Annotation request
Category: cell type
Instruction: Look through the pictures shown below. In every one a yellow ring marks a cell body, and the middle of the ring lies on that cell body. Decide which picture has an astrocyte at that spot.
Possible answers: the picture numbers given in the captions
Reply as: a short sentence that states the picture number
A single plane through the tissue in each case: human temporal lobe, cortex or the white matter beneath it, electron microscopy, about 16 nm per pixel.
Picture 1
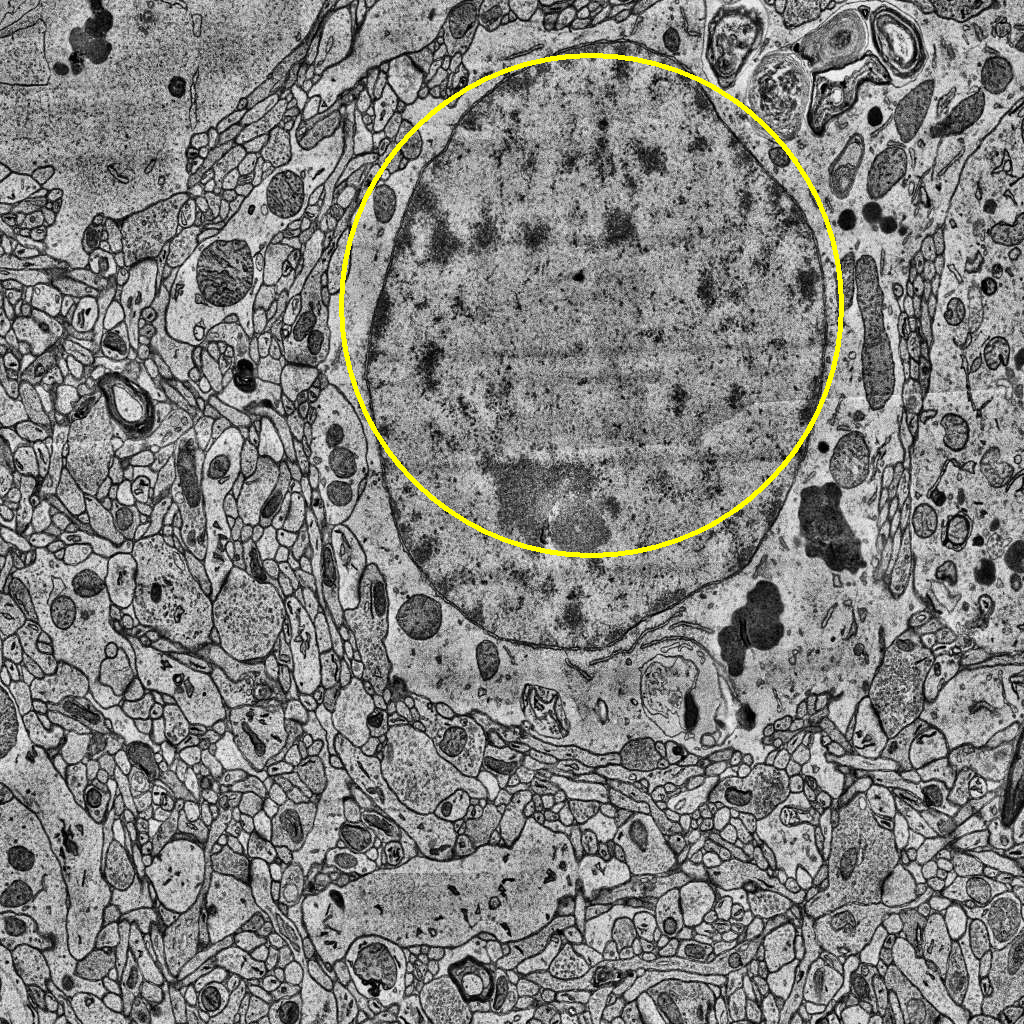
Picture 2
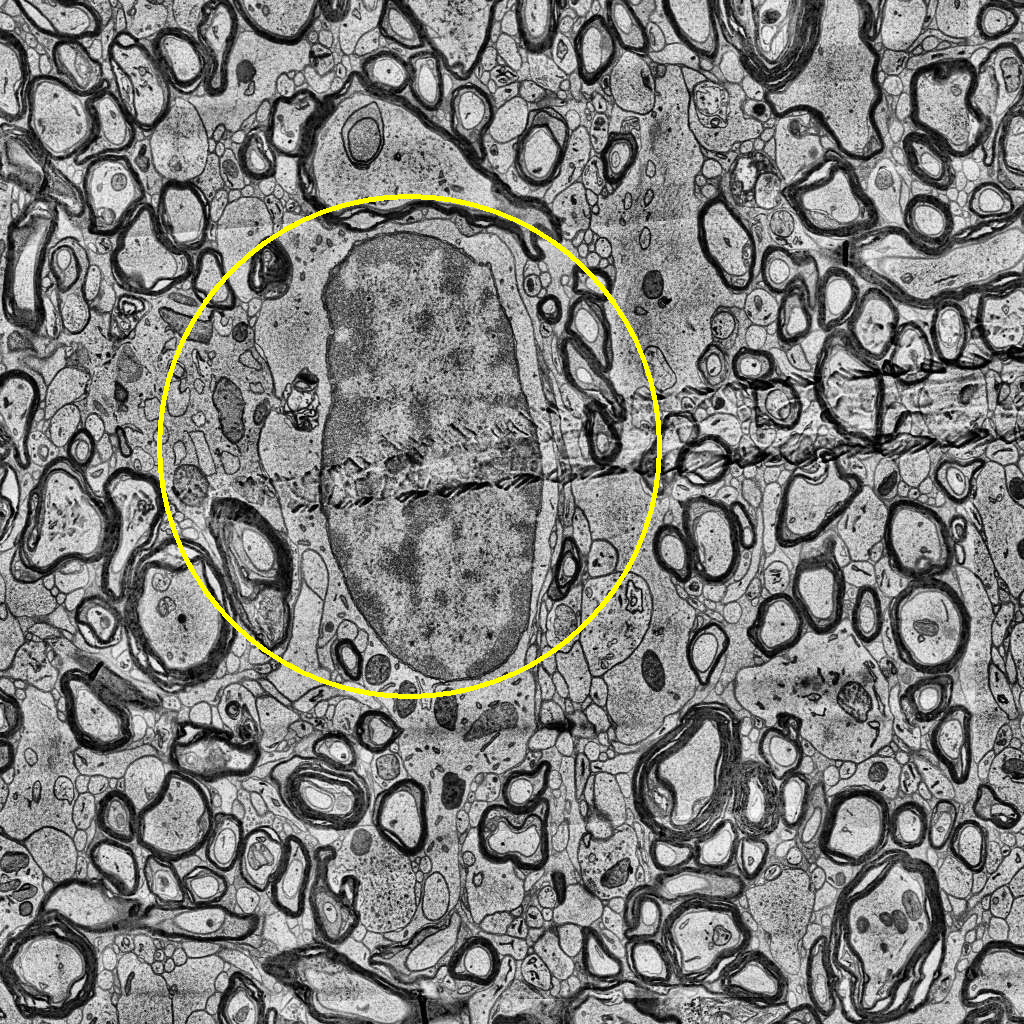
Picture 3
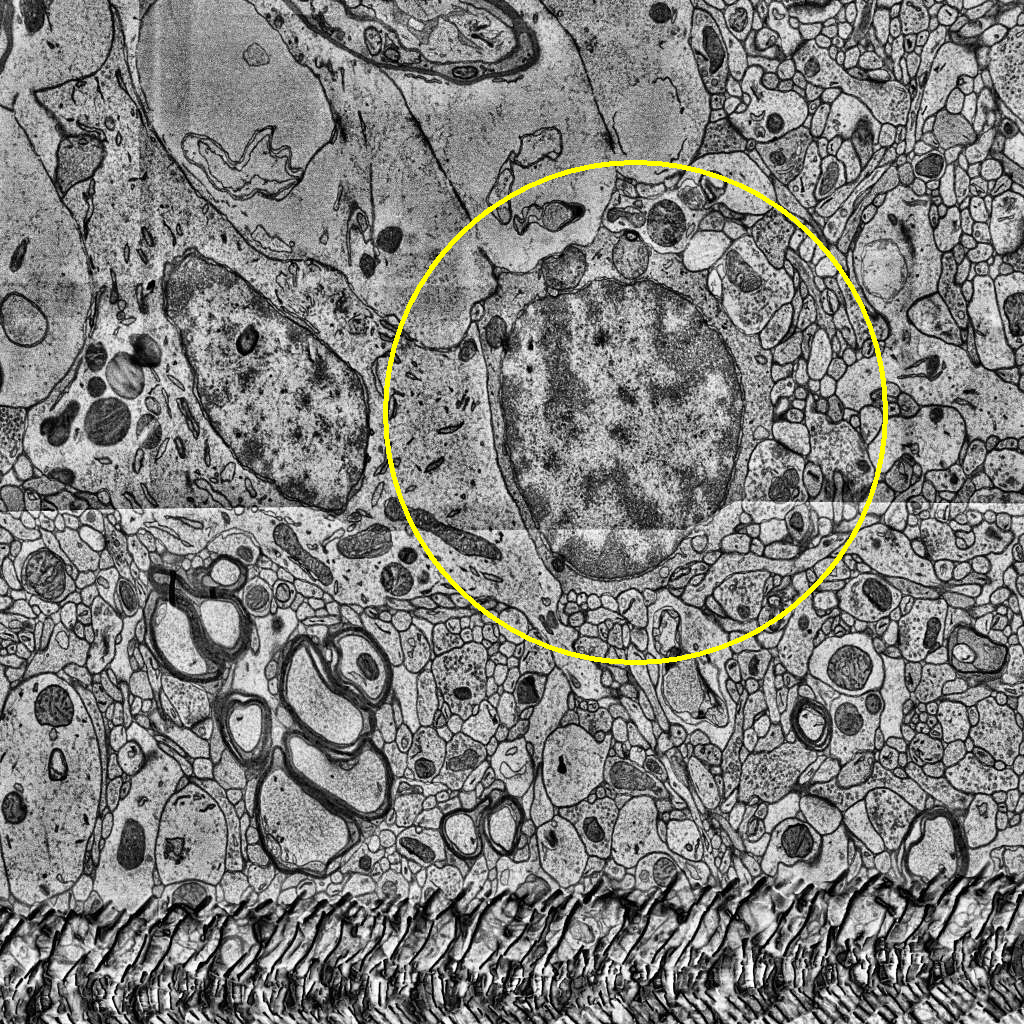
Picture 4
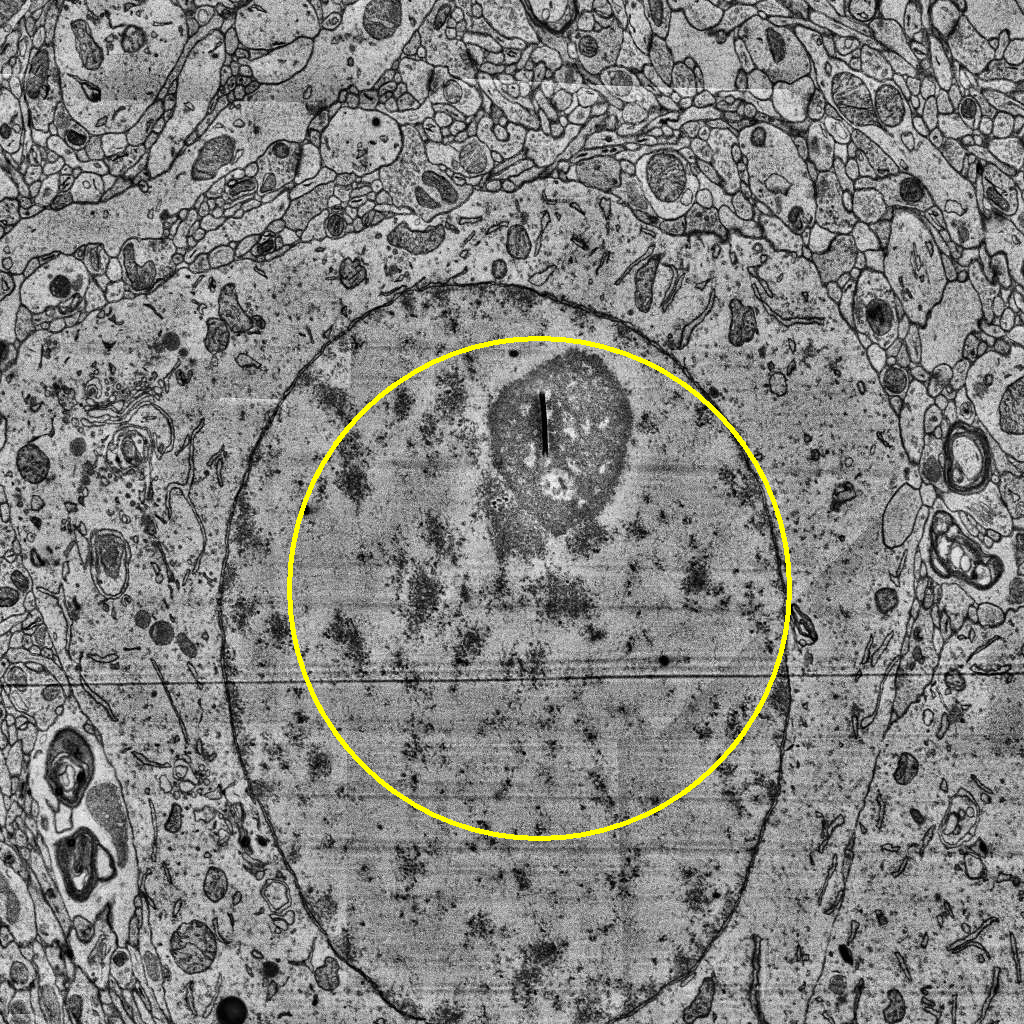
It is in Picture 1.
